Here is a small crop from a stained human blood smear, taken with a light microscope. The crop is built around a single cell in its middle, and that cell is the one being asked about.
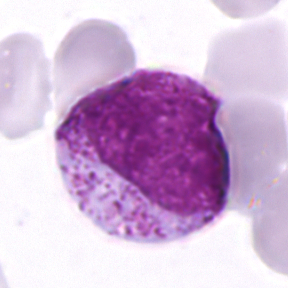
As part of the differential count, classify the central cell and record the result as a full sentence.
The central cell shown in this smear crop is a myelocyte.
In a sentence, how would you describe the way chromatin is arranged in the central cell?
The chromatin here is fine and lacks any coarse clumps.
